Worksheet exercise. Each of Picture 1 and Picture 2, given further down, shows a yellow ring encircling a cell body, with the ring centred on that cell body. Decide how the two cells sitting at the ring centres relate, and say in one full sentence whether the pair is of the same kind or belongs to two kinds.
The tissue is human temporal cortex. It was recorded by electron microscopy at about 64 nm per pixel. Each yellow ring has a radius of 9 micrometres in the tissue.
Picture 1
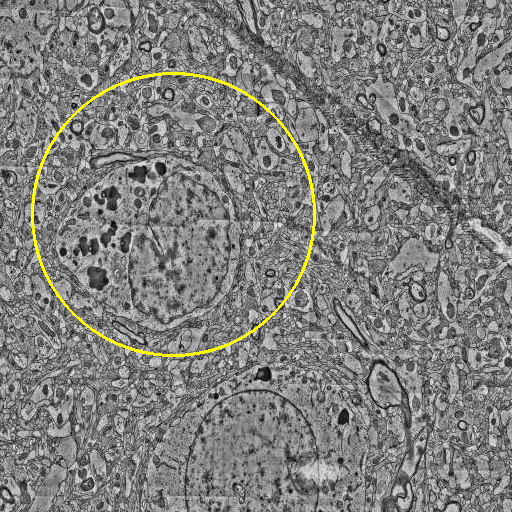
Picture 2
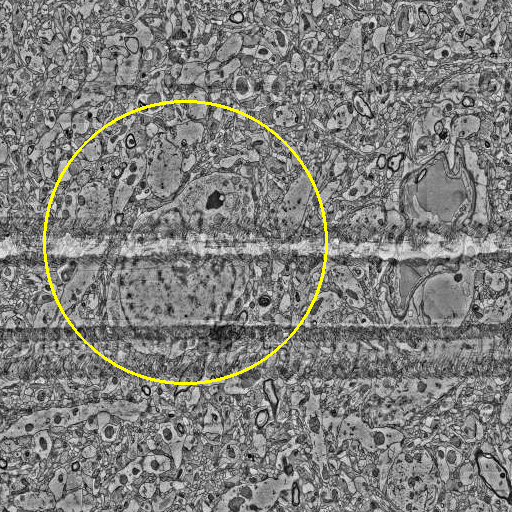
The cells at the ring centres in Picture 1 and Picture 2 are of the same kind.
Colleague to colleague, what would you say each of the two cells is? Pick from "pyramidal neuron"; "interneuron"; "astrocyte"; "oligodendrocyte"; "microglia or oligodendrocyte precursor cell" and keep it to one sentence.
Each of the two pictures has an interneuron at the ring centre.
